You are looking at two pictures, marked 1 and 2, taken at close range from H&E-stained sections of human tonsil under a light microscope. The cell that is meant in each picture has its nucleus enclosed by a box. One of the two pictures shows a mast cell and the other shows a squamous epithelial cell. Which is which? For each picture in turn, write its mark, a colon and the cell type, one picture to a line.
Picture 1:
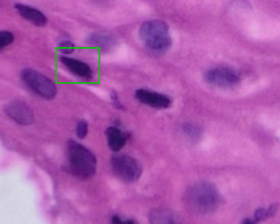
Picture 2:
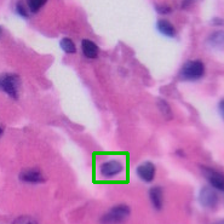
1: squamous epithelial cell
2: mast cell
